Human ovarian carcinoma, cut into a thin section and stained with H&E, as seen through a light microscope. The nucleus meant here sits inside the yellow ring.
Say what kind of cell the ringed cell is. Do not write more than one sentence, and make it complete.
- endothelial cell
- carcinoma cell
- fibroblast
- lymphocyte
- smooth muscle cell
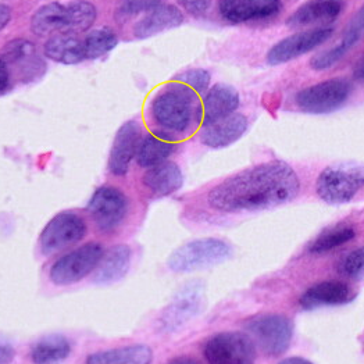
As to its cell type, the ringed cell is a carcinoma cell.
